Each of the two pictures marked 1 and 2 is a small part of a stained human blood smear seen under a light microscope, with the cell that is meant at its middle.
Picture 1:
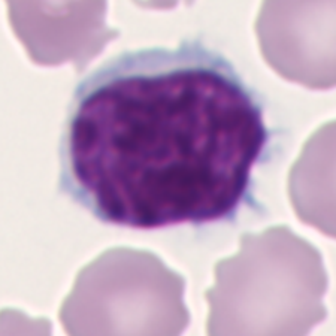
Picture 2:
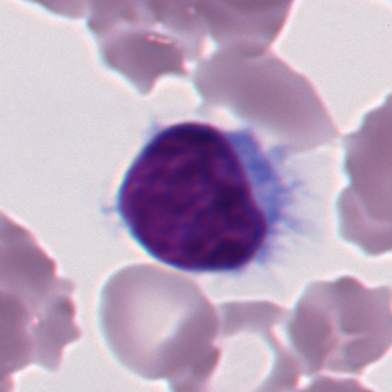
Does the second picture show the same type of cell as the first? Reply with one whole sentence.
Yes; the cells in both pictures are hairy cells.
